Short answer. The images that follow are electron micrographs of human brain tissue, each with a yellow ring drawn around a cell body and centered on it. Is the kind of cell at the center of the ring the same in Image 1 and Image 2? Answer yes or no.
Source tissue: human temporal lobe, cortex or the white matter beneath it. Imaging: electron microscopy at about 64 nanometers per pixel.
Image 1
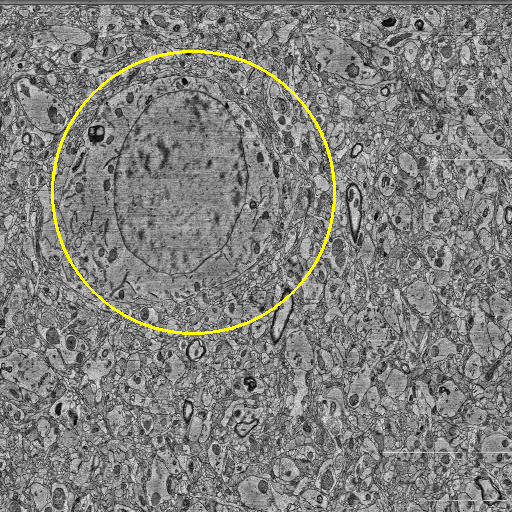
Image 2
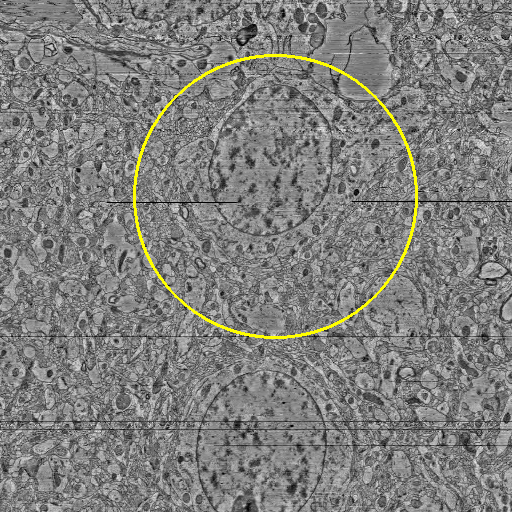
yes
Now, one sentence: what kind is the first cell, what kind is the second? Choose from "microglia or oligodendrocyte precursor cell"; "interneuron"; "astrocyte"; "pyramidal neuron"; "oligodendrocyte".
The second cell is a pyramidal neuron, just as the first is.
